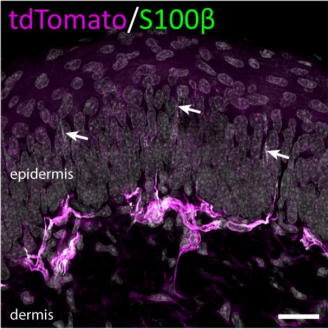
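A thick epidermis of densely packed grey nuclei, flattening toward the surface, lies above a dermis with sparser nuclei. Bundles of fibers labelled in both colours, appearing whitish-pink, run along the boundary between the two layers and dip into the dermal projections. A few thin fibers rise from this boundary up between the epidermal cells, as marked by the arrows.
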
